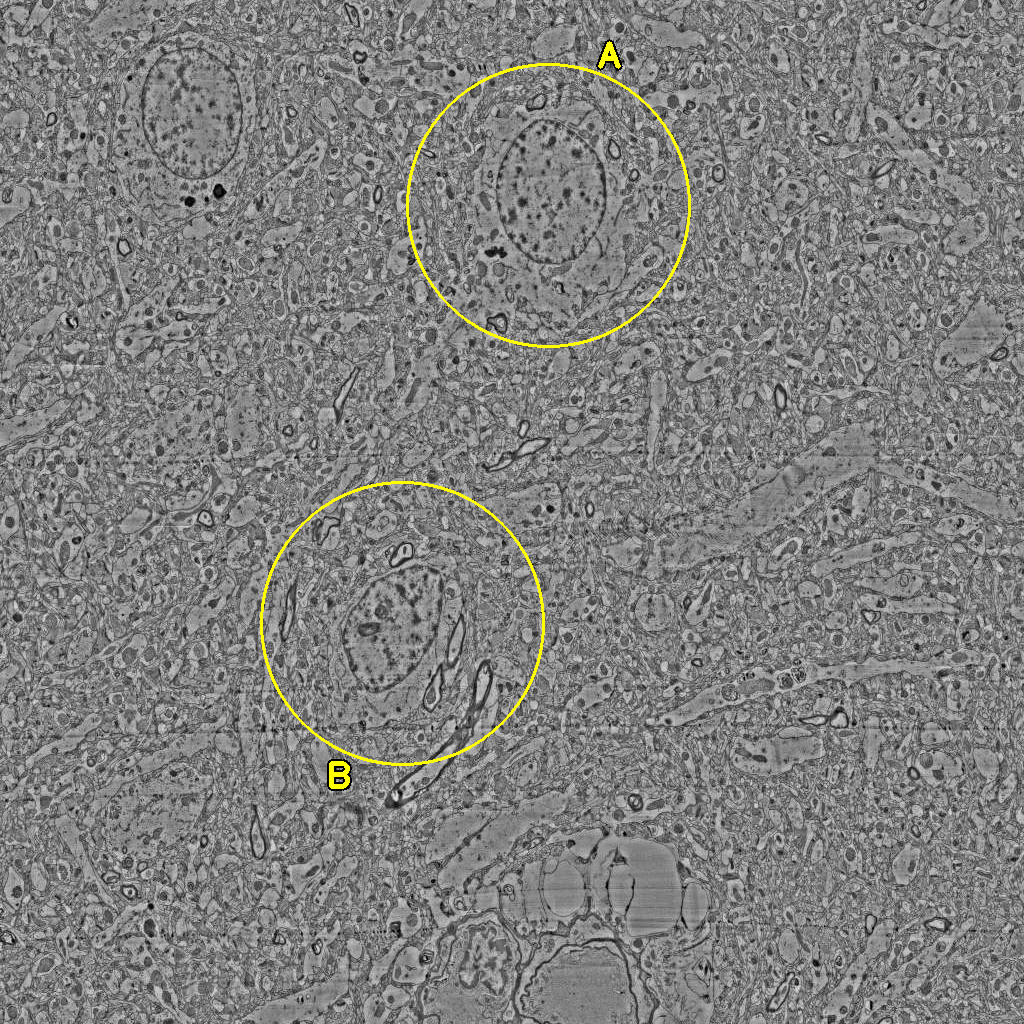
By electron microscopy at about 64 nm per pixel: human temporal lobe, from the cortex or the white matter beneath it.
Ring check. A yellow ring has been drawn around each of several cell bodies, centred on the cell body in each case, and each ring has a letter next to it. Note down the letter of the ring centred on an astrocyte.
A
